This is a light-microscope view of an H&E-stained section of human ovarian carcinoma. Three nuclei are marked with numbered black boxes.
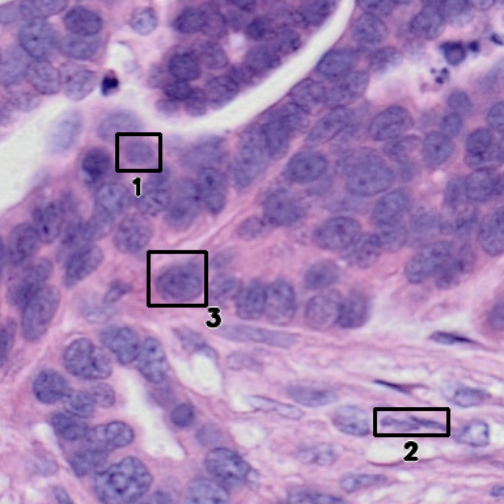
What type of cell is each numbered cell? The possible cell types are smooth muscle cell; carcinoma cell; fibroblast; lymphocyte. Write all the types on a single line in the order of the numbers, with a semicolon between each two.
carcinoma cell; fibroblast; carcinoma cell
